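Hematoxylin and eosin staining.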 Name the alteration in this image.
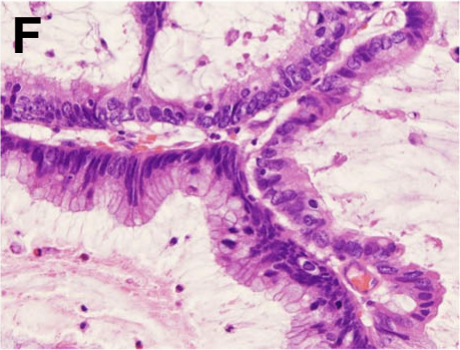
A: Mucinous adenocarcinoma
